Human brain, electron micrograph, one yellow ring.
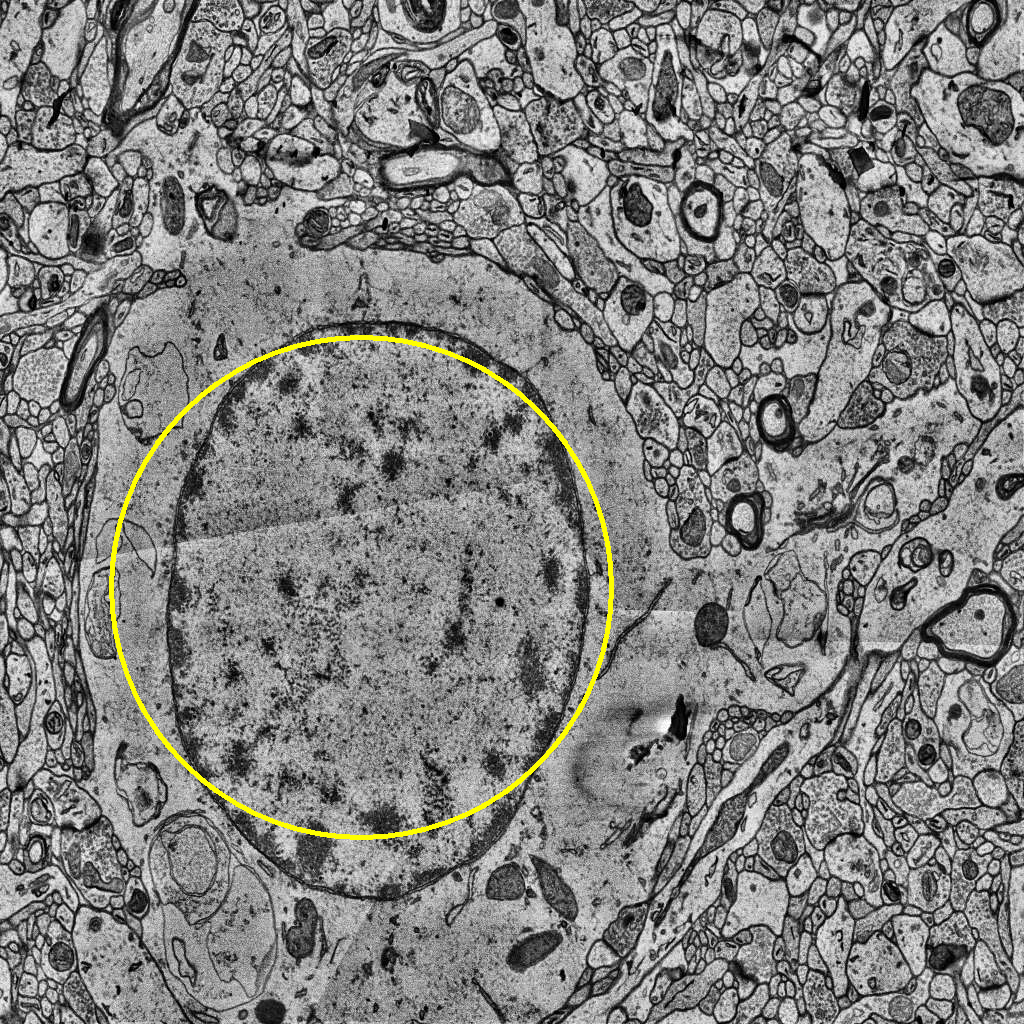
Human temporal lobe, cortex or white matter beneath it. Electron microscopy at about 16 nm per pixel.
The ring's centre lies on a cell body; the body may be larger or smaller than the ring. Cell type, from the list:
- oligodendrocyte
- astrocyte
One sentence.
The yellow ring's centre lies on an astrocyte.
